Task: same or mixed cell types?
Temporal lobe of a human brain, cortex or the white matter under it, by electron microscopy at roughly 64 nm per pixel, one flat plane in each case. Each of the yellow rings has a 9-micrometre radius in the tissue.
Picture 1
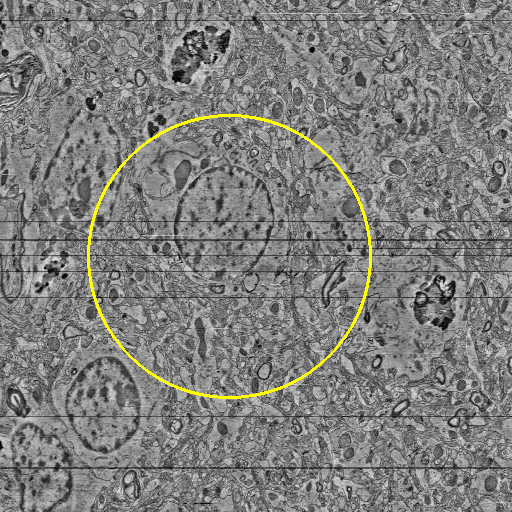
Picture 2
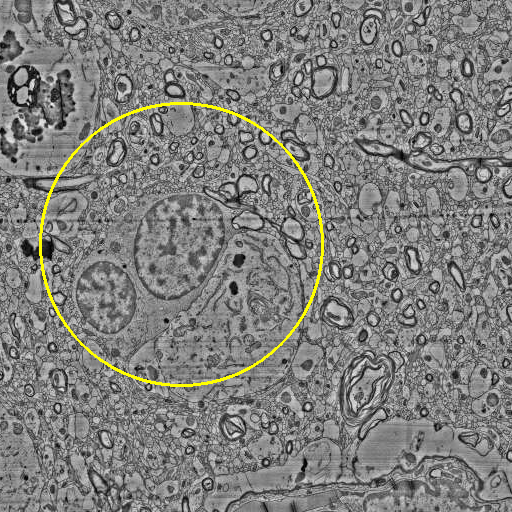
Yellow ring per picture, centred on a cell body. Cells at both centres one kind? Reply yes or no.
no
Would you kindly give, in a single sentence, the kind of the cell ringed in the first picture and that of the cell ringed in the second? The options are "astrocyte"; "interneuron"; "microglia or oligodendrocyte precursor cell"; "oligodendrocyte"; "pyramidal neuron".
The second cell is an oligodendrocyte, and the first cell is an astrocyte.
